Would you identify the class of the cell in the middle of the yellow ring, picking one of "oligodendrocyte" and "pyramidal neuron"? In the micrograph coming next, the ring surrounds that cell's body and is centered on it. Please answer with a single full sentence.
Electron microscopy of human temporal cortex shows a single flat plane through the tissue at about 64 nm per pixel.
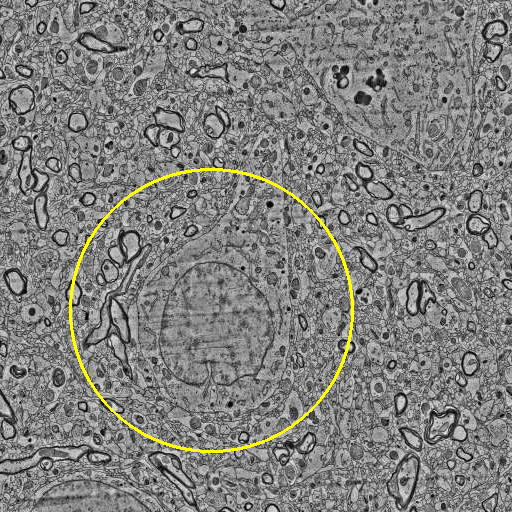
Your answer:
In the micrograph, it is a pyramidal neuron whose body lies at the ring's center.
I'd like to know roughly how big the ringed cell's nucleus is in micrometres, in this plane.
In this plane, roughly 8 micrometres across.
